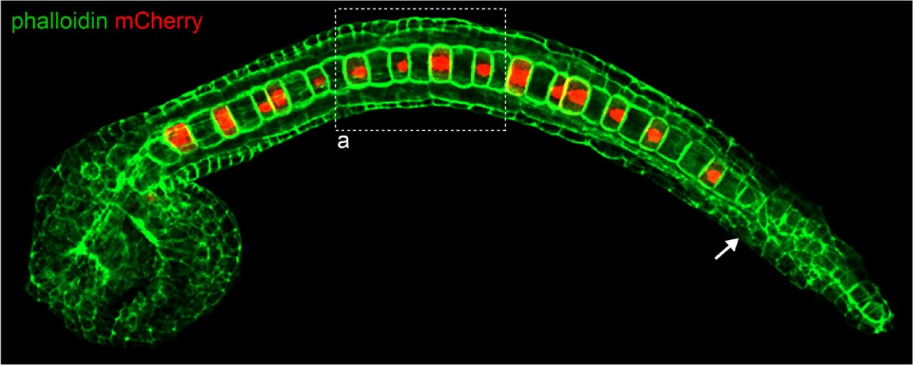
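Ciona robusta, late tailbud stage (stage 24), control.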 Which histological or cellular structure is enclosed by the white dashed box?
notochord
